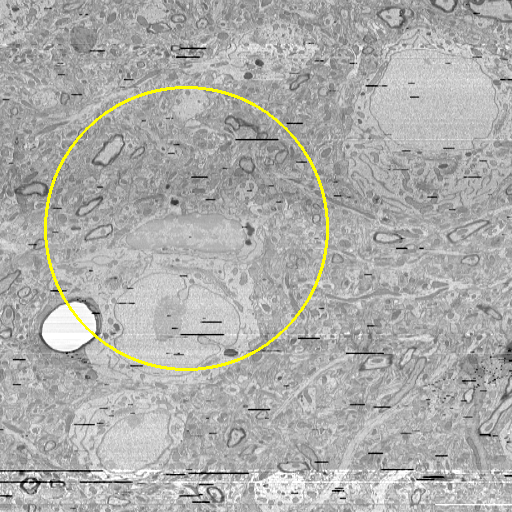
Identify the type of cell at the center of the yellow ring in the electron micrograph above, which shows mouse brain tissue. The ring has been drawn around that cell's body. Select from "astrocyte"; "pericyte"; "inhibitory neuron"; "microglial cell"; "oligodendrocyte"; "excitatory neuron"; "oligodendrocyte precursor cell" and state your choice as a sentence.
The yellow ring is centered on the body of a microglial cell.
